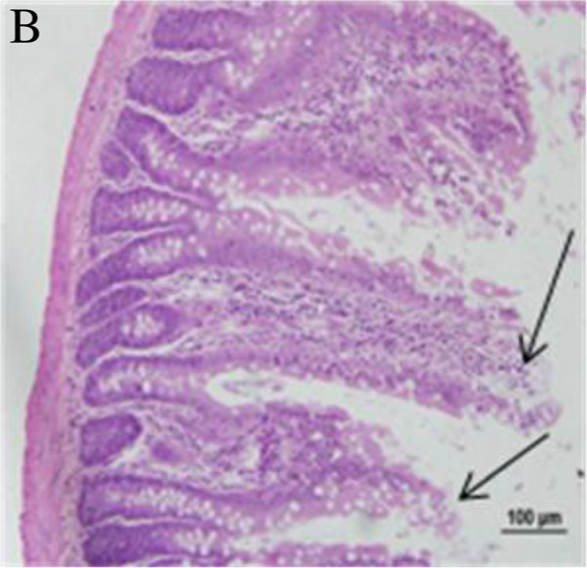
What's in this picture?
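This section of small intestine shows villi projecting from a pink muscular wall at the left, with crypts at their base. The crypts and lower villi are lined by columnar epithelium in which many clear, rounded goblet cells stand out. Toward the lumen the villus tips look ragged: the epithelial covering has been shed, leaving the pinkish connective tissue core bare. Loose fragments of cells and tissue lie free in the lumen next to these damaged tips.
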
